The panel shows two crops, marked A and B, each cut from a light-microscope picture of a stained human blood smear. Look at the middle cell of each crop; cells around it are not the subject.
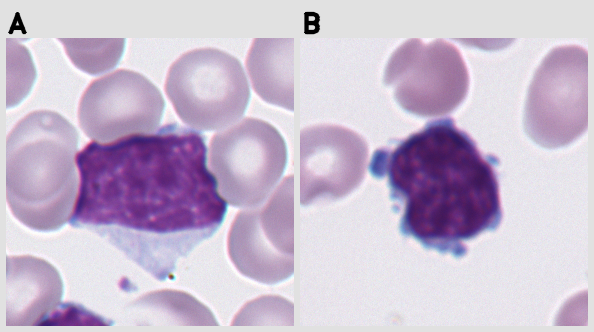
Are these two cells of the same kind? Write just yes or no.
yes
